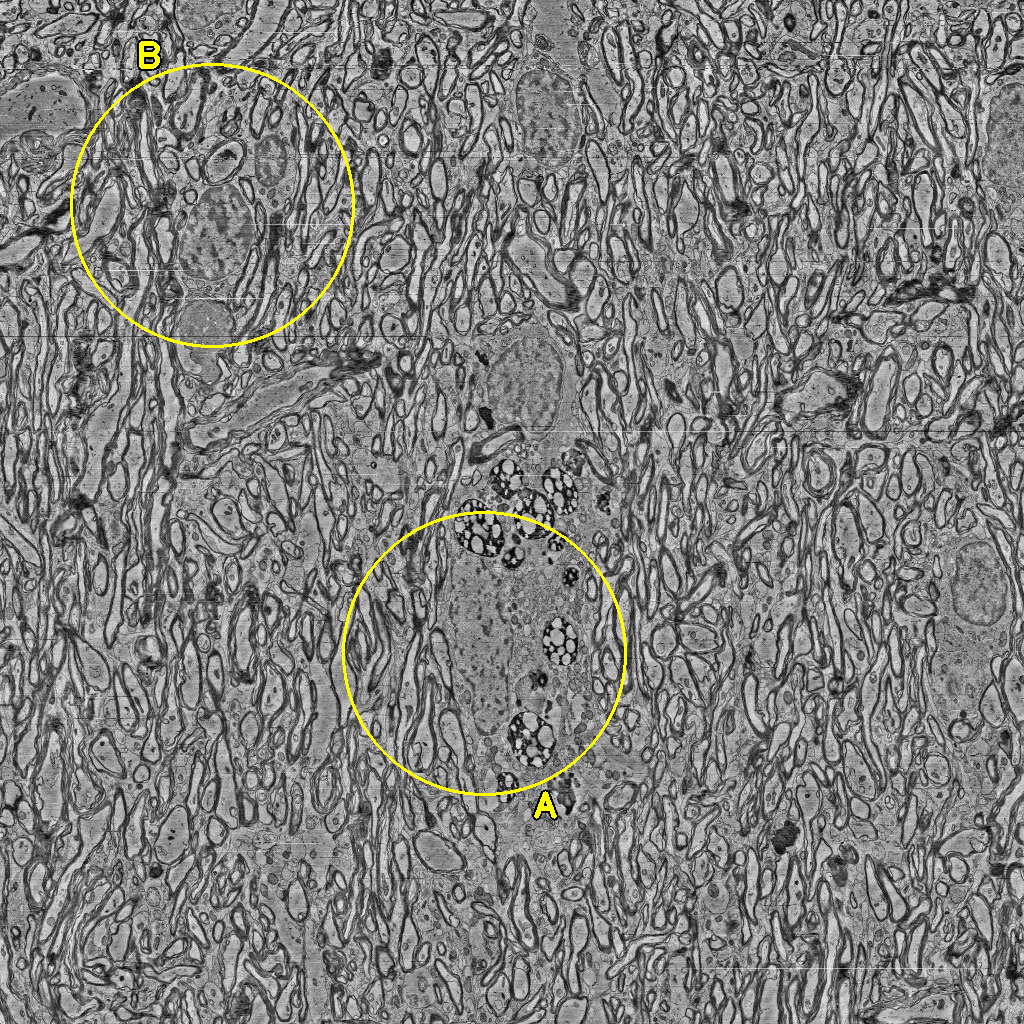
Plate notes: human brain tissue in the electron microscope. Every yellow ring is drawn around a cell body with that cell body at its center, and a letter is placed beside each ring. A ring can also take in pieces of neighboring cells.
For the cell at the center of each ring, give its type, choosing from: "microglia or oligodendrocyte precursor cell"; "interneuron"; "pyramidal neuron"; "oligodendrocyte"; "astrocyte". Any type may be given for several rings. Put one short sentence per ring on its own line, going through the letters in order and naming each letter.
Ring A shows an astrocyte at the center.
Ring B shows a microglial cell or oligodendrocyte precursor cell at the center.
